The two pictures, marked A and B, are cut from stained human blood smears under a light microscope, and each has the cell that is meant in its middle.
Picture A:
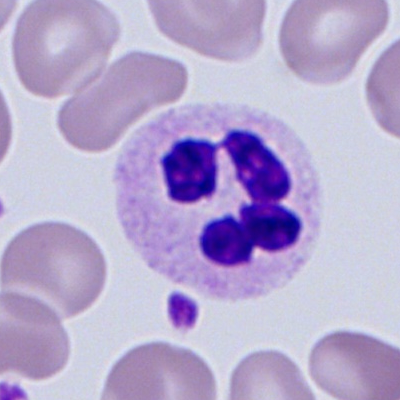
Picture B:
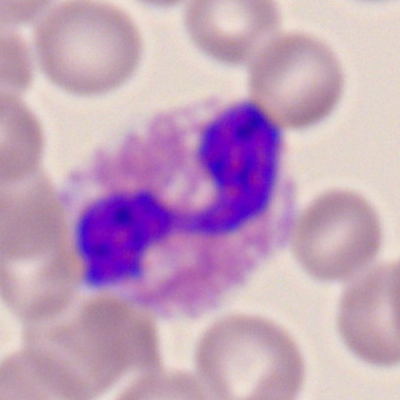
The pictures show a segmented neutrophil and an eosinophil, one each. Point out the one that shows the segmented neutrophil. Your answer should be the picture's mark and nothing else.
A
